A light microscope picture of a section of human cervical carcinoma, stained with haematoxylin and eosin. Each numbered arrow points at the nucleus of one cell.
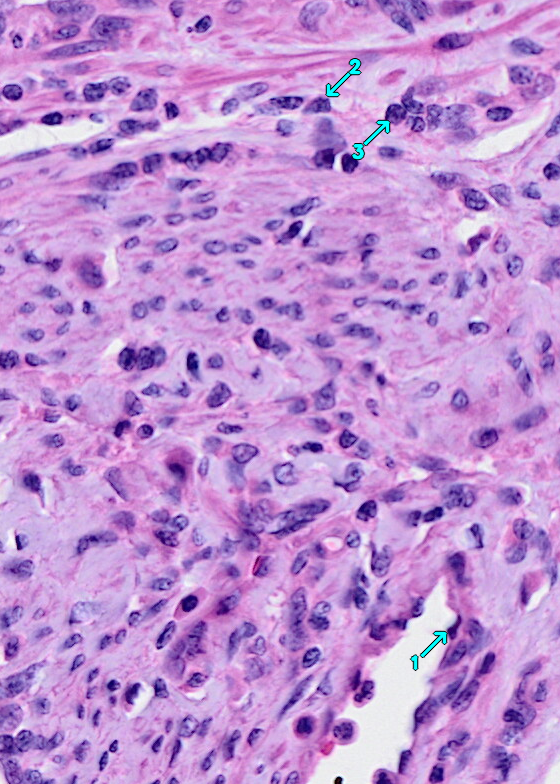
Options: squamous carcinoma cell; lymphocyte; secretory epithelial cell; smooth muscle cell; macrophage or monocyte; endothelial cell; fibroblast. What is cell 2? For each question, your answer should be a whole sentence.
Cell 2 should be recorded as a lymphocyte.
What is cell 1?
The marked nucleus 1 is that of an endothelial cell.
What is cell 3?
Cell number 3 in this section is a lymphocyte.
